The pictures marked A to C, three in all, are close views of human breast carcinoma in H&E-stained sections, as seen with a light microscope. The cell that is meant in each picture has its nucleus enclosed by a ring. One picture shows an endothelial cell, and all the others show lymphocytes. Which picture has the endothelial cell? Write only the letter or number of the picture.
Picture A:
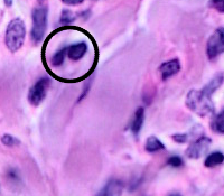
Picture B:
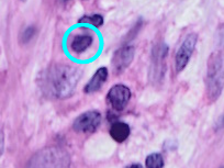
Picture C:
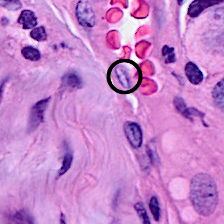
C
